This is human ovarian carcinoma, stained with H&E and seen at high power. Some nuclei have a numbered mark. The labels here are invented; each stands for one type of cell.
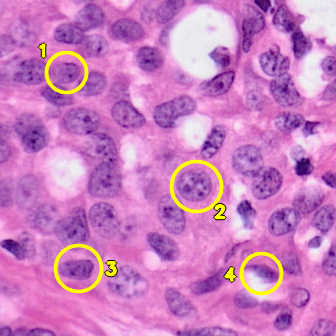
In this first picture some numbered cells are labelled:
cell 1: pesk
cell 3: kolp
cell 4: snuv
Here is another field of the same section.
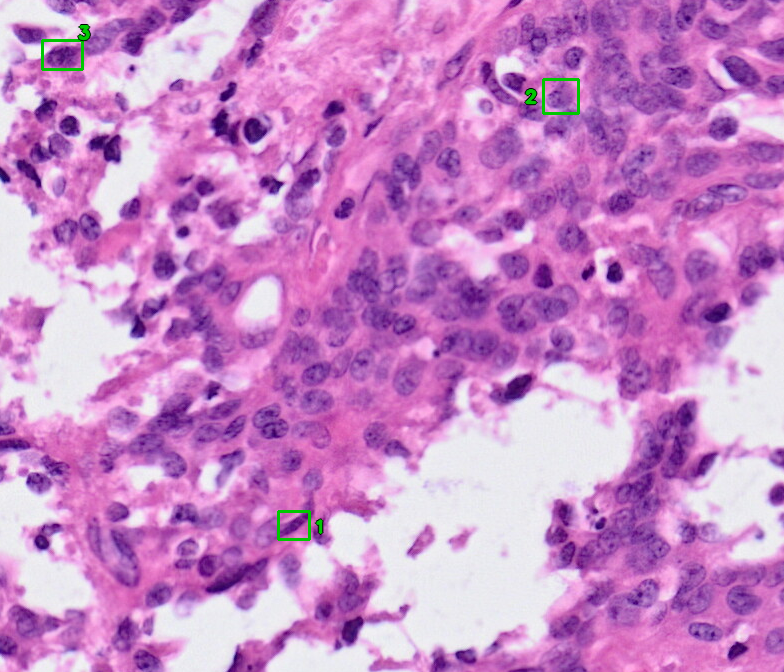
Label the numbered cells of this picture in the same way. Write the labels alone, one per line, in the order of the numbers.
snuv
kolp
pesk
